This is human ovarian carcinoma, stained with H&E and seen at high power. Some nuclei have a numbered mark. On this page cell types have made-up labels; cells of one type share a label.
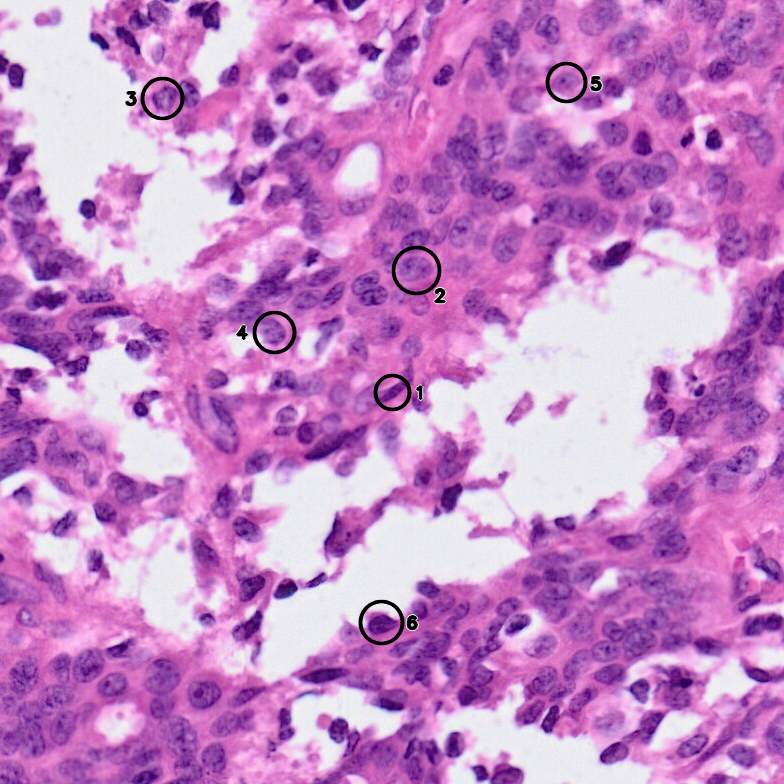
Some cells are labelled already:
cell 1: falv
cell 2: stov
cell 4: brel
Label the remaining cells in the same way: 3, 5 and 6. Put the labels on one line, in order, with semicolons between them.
brel; brel; stov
